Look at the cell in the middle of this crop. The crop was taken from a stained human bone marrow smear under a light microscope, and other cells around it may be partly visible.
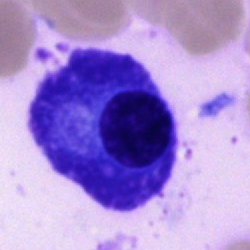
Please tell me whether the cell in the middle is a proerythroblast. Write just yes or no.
no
